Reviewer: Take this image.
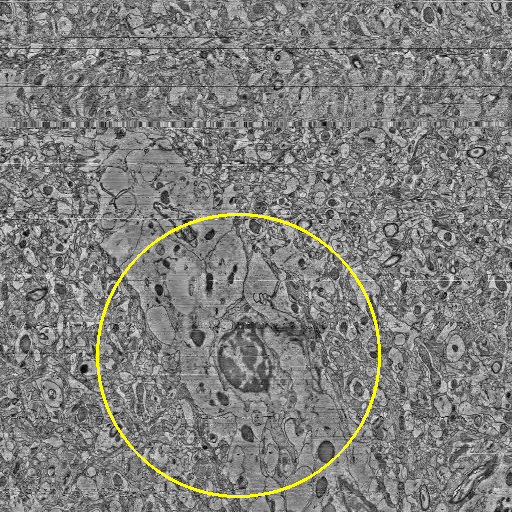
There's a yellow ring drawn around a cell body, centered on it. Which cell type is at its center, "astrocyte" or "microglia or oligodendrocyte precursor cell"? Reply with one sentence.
At the center of the yellow ring is a microglial cell or oligodendrocyte precursor cell.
